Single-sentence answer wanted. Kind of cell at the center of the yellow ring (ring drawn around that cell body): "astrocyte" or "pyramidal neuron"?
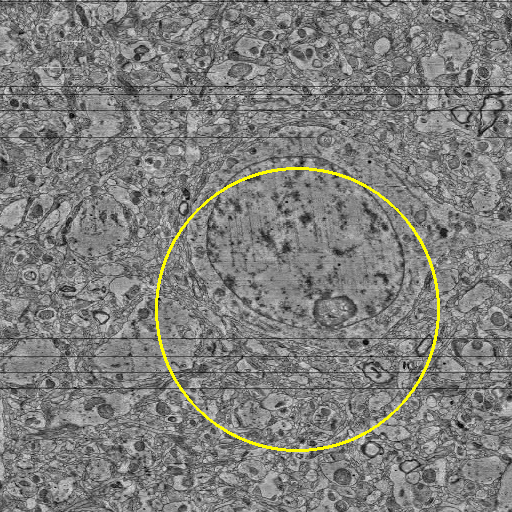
The cell centered in the ring is a pyramidal neuron.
